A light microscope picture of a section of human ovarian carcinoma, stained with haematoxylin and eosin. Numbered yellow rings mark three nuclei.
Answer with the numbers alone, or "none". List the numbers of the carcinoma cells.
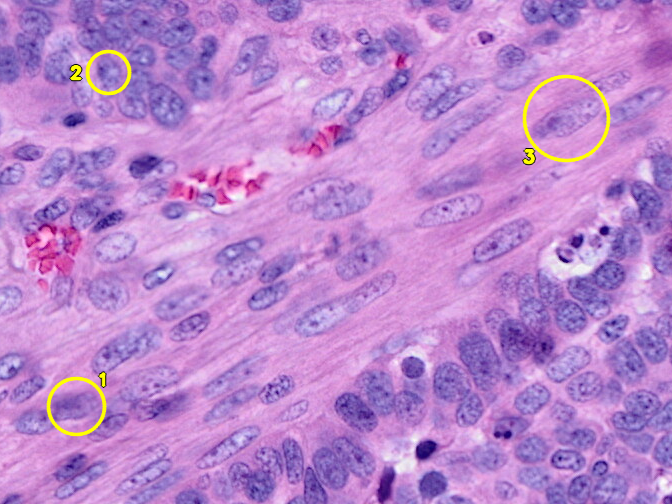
2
